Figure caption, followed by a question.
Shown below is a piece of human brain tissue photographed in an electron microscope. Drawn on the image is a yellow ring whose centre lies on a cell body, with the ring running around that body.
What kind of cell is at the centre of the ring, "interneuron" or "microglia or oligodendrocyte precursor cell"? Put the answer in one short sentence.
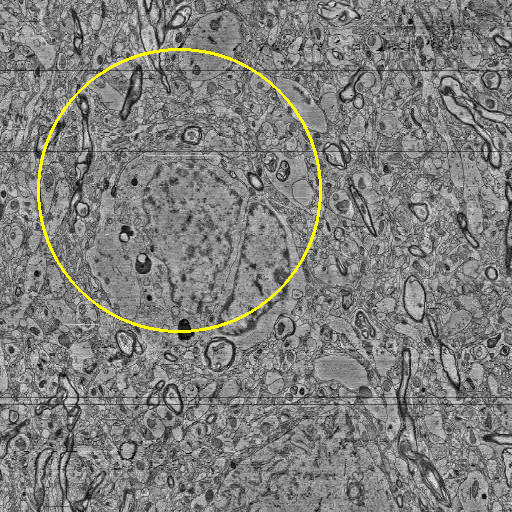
The ring marks the cell body of an interneuron.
